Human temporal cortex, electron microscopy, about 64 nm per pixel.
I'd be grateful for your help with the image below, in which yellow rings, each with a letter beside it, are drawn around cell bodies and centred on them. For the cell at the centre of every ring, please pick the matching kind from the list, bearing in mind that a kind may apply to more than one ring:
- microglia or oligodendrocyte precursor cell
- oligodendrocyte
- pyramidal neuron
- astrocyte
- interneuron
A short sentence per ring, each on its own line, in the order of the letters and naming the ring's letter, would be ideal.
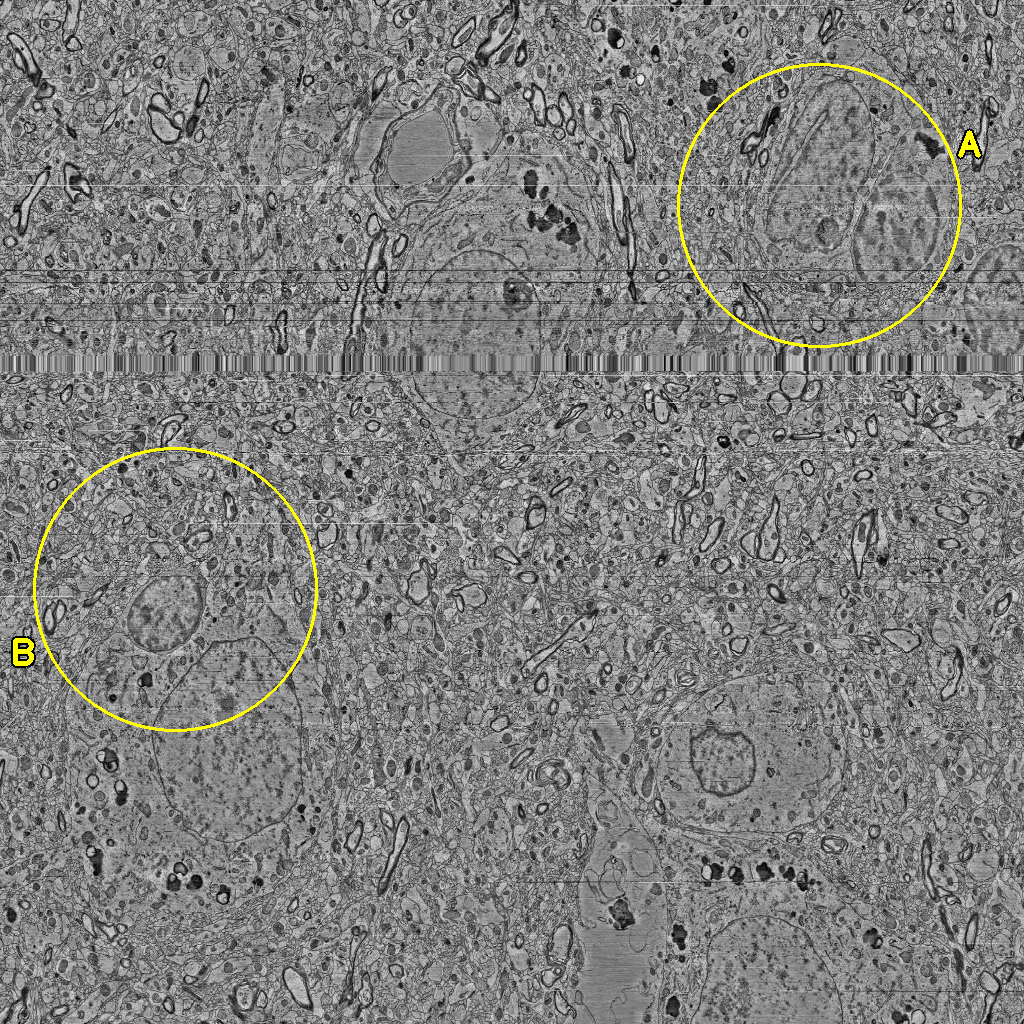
Inside ring A, the central cell is an interneuron.
Inside ring B, the central cell is an oligodendrocyte.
